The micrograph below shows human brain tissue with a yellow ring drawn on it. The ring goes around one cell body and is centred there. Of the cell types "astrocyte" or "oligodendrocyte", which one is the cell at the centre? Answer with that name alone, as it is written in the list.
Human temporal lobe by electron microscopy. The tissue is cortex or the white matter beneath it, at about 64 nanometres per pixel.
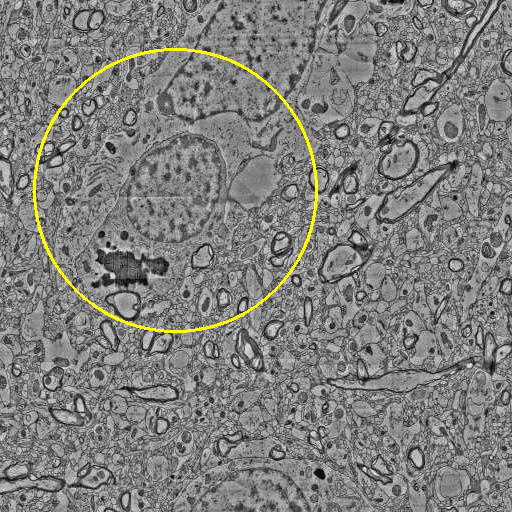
oligodendrocyte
